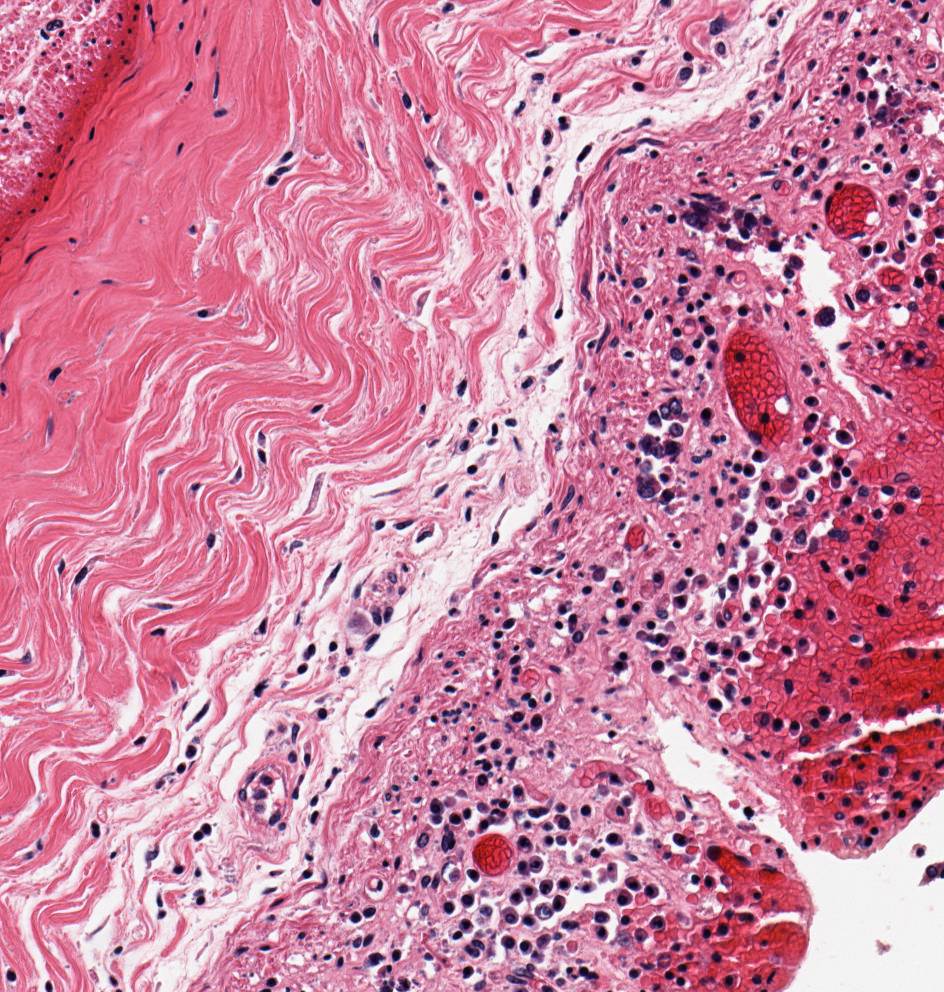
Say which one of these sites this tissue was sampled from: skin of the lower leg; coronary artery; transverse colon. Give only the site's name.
transverse colon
